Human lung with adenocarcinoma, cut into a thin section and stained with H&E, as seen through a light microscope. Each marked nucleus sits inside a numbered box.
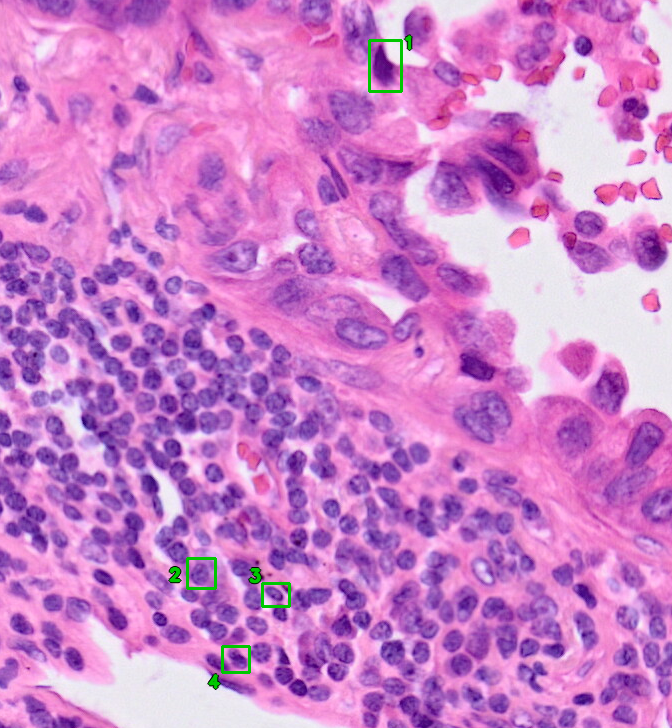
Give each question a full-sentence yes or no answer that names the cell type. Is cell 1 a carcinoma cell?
Yes, that is so; number 1 marks a carcinoma cell.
